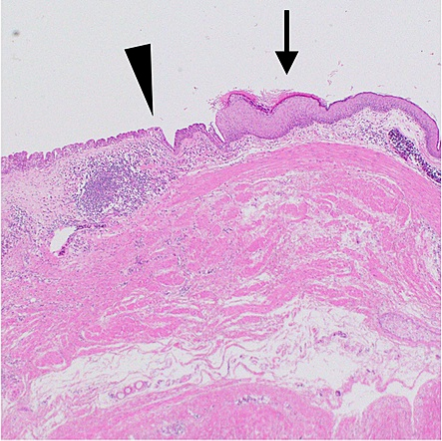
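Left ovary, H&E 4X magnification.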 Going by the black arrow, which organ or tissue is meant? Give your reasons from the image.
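A thicker stratified epithelium forms a raised cap on the cyst surface. The answer: squamous epithelium.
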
